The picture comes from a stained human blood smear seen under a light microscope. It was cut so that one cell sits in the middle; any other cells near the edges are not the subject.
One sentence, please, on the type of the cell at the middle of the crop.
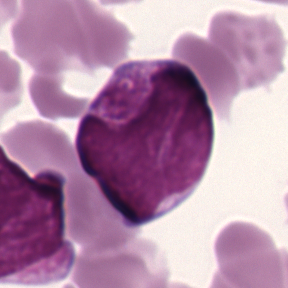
Classified as a blast is the cell in the middle of this crop.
